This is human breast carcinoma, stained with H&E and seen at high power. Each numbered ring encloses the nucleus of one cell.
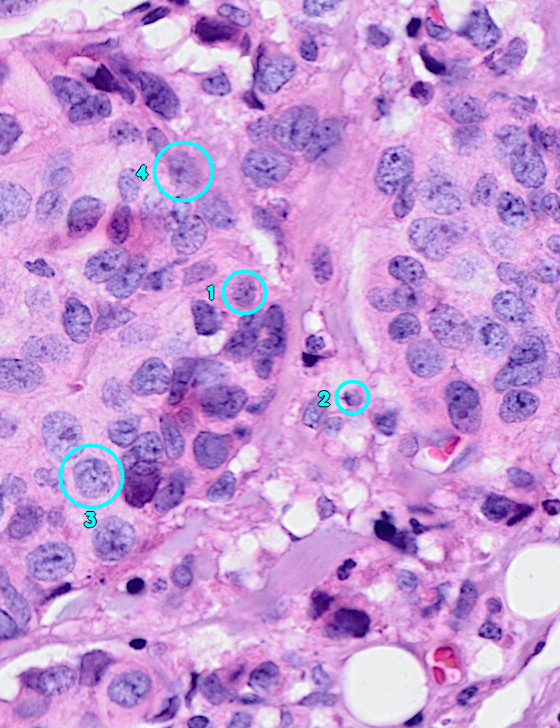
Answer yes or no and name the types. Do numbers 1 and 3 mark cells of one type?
Yes, among the marked cells, numbers 1 and 3 are both carcinoma cells.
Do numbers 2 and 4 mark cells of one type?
No, the correct reading has cell 2 as a macrophage, monocyte or dendritic cell and cell 4 as a carcinoma cell.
